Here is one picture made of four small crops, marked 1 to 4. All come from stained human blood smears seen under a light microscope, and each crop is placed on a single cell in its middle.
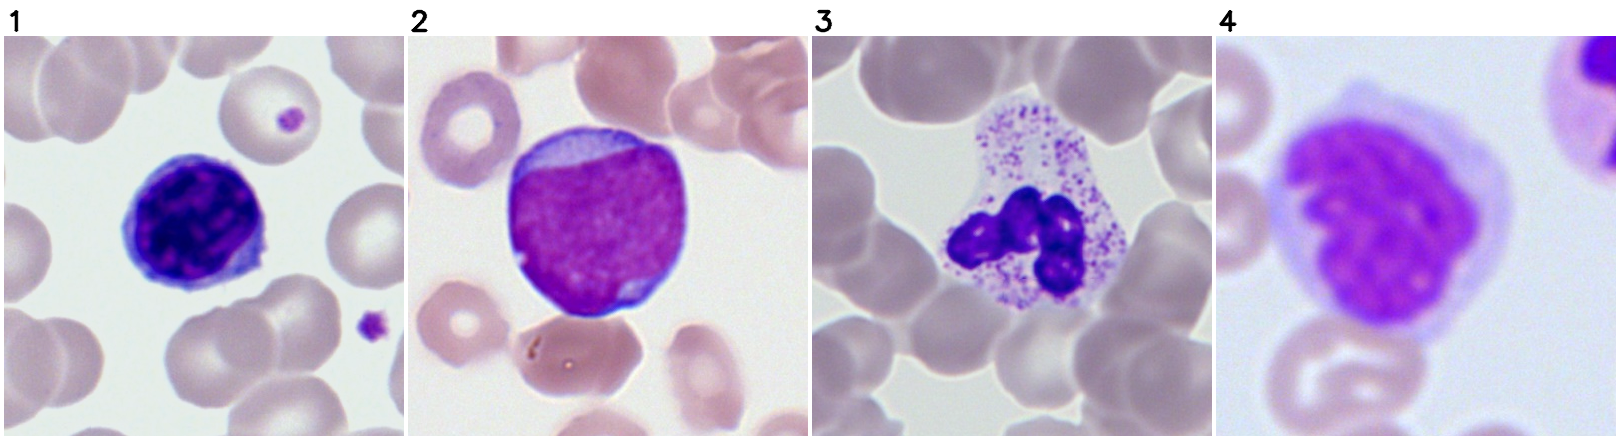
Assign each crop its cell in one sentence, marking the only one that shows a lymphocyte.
The cell occupying crop 1 is a lymphocyte, whereas crop 2 is a blast, crop 3 is a neutrophil and crop 4 is a monocyte.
